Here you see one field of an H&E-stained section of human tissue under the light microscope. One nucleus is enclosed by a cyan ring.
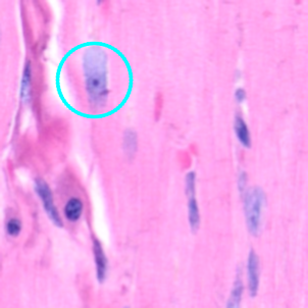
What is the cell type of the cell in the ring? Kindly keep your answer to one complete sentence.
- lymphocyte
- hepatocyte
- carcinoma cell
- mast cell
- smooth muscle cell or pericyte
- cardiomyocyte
Within this tissue, the cell in the ring is a cardiomyocyte.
